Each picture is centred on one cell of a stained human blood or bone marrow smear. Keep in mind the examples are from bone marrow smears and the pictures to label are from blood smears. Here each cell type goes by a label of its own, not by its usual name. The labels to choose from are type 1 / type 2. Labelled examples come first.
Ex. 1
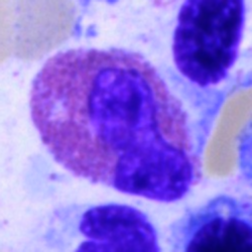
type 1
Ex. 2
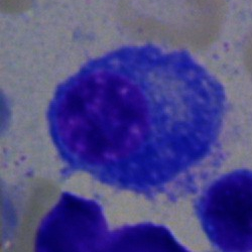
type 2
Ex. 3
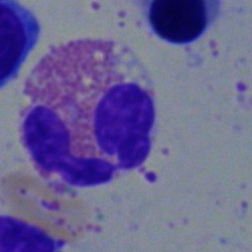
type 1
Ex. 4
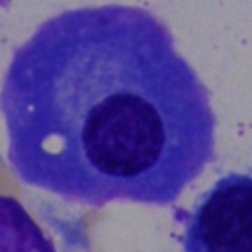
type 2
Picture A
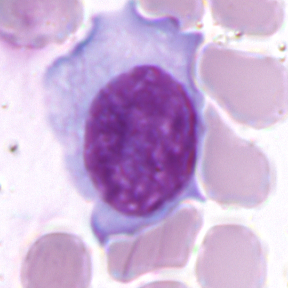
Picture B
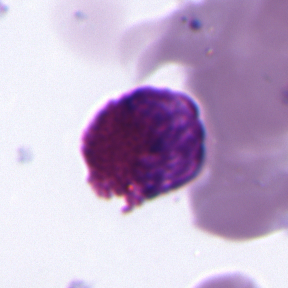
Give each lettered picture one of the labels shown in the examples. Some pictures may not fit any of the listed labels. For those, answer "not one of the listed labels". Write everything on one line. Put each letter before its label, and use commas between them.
A type 2, B type 1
